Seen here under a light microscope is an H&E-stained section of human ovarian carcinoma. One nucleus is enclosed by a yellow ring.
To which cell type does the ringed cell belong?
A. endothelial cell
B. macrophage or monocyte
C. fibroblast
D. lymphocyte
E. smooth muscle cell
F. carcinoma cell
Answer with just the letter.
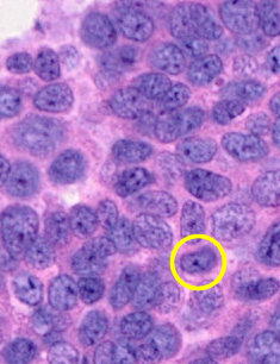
B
